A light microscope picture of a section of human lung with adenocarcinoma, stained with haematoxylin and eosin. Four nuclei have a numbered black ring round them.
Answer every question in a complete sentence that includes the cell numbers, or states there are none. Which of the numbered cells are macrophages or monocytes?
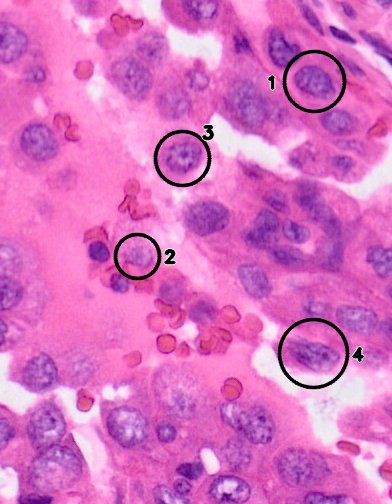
Nothing but cell 2 is a macrophage or monocyte among the numbered ones.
